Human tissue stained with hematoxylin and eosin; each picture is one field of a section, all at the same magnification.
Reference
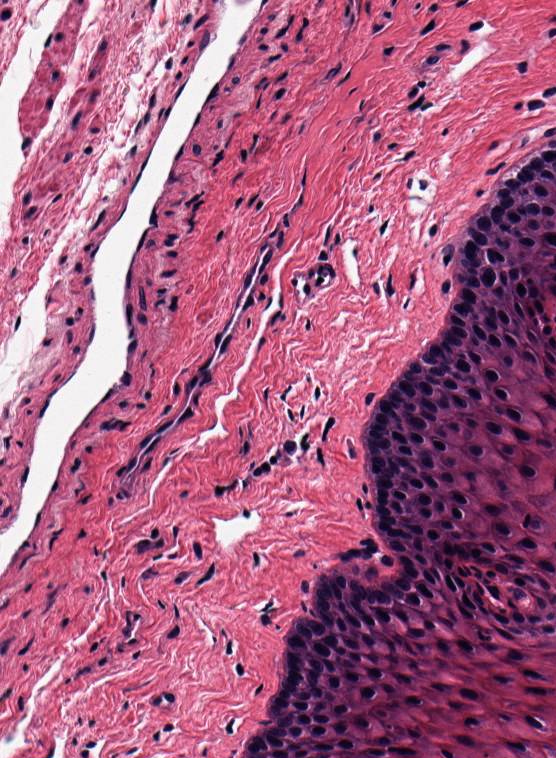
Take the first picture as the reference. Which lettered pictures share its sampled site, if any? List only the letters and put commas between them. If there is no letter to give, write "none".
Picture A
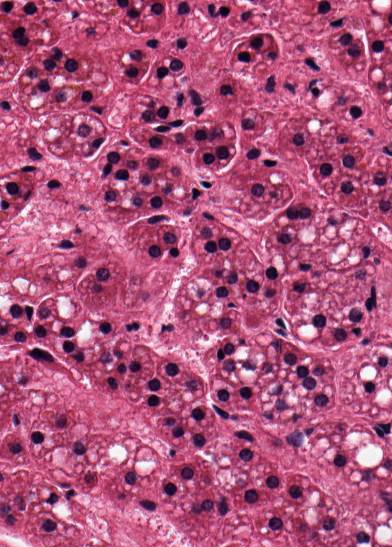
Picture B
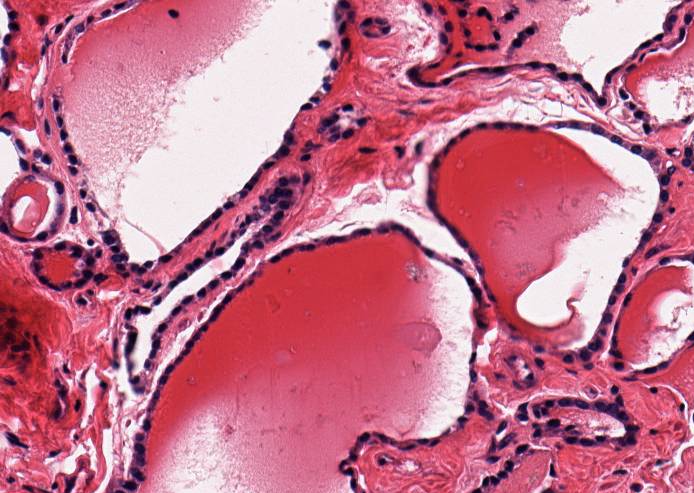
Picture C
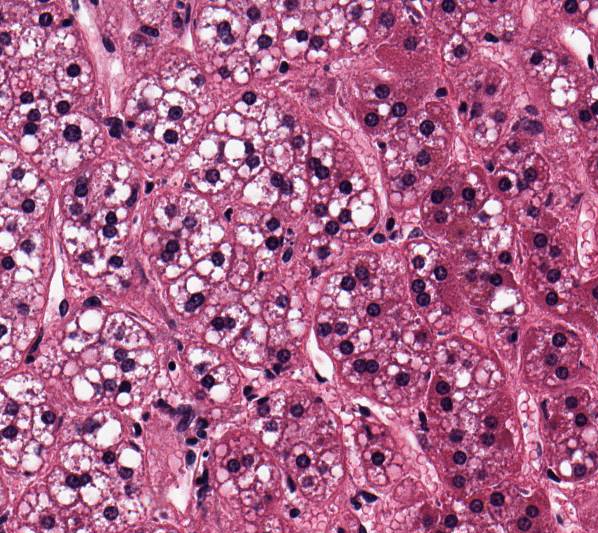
none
